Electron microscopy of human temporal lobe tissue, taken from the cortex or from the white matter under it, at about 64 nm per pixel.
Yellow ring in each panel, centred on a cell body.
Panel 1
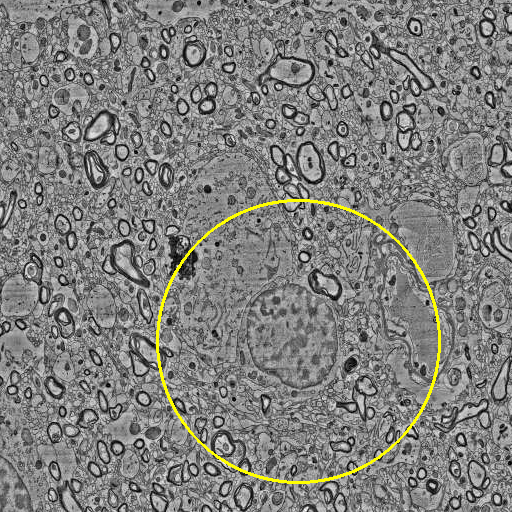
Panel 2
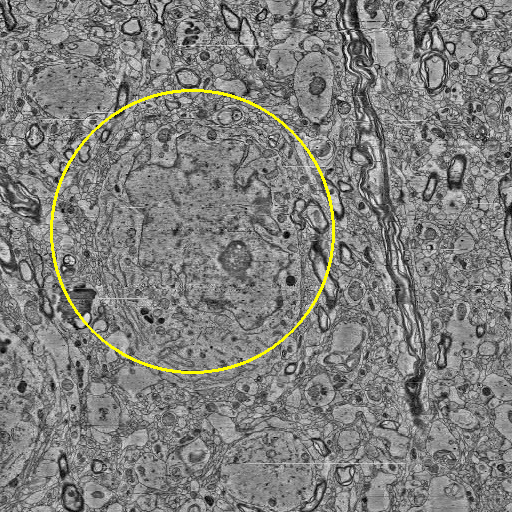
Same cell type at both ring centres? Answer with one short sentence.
No, the two cells are of two types.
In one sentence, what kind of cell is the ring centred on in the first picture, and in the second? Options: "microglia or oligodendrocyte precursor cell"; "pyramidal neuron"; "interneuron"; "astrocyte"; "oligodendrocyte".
The cell at the centre of the second ring is an interneuron; the first ring's cell is an oligodendrocyte.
